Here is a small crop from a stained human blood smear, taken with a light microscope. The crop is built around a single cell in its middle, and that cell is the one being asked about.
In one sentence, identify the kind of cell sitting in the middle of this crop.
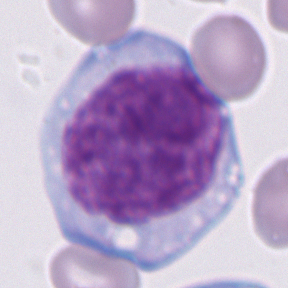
The cell centred in this crop is categorized as a myeloblast.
